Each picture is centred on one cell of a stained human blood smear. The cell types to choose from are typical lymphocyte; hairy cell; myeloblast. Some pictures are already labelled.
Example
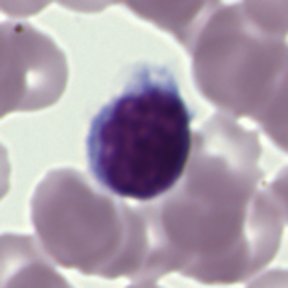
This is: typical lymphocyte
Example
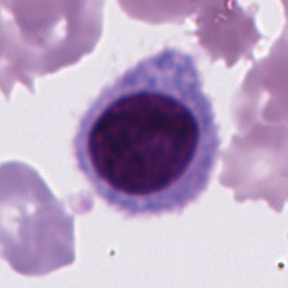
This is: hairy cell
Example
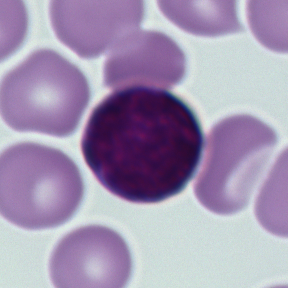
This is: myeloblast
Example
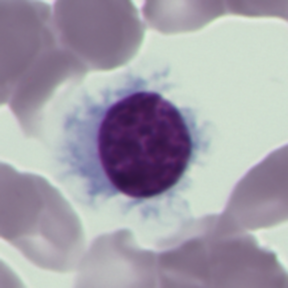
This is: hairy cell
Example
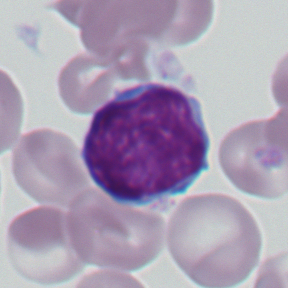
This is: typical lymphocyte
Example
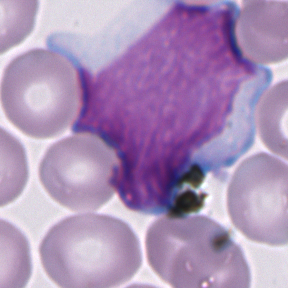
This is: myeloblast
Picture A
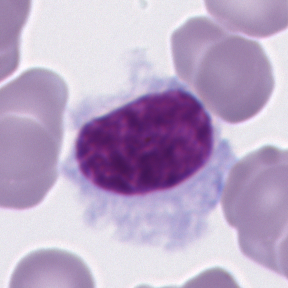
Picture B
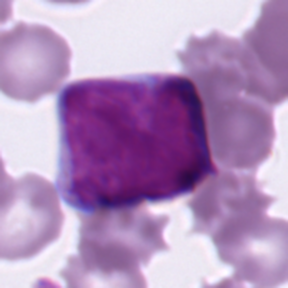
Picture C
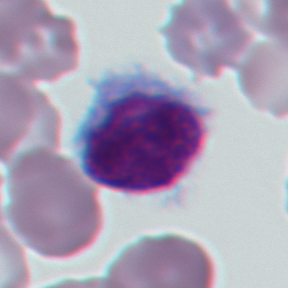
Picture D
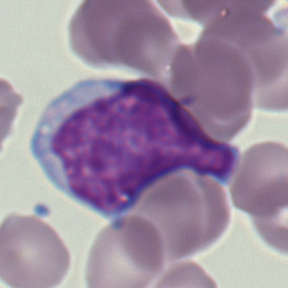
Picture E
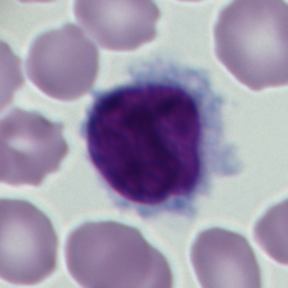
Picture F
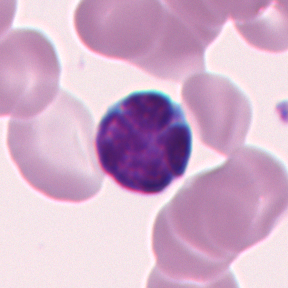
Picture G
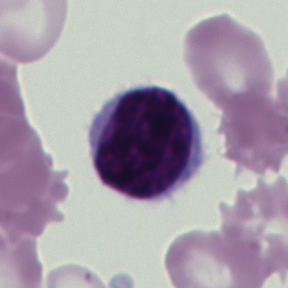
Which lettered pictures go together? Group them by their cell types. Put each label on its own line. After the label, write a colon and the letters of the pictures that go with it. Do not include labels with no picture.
typical lymphocyte: F
hairy cell: A, C, E, G
myeloblast: B, D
